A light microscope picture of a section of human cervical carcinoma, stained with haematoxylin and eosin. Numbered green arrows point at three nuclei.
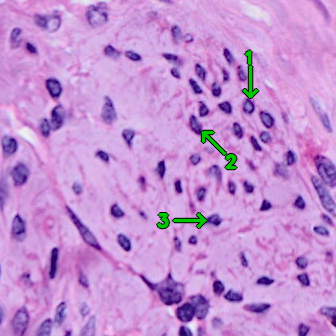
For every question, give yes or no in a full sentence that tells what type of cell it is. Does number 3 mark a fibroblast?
Yes, the cell at marker 3 is a fibroblast.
